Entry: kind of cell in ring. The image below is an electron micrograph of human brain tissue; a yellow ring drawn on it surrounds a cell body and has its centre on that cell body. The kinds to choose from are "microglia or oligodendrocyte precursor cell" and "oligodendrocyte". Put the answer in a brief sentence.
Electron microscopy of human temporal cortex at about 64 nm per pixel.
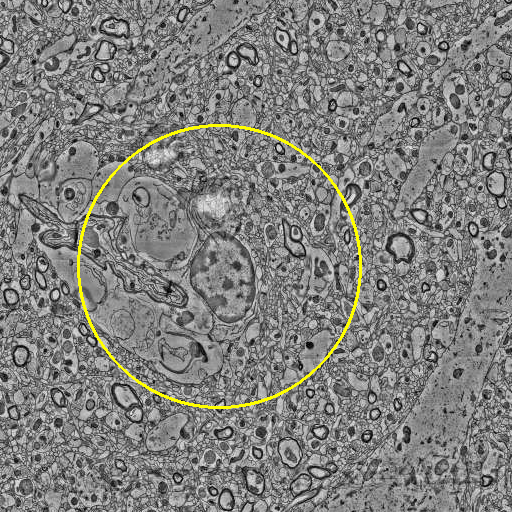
The ring has been drawn around a microglial cell or oligodendrocyte precursor cell.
